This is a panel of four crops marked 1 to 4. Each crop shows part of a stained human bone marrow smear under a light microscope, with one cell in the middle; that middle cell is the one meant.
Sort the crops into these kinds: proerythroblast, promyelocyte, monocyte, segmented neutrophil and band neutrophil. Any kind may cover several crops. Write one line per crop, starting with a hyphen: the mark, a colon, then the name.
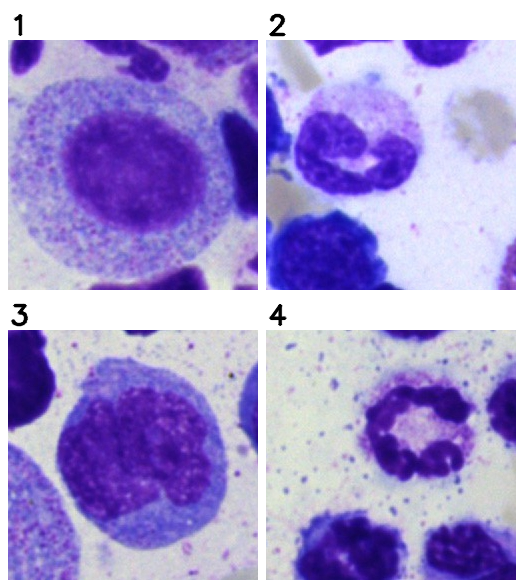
- 1: promyelocyte
- 2: segmented neutrophil
- 3: monocyte
- 4: segmented neutrophil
